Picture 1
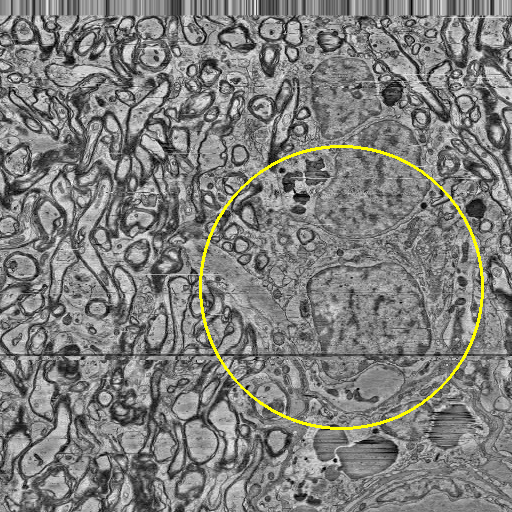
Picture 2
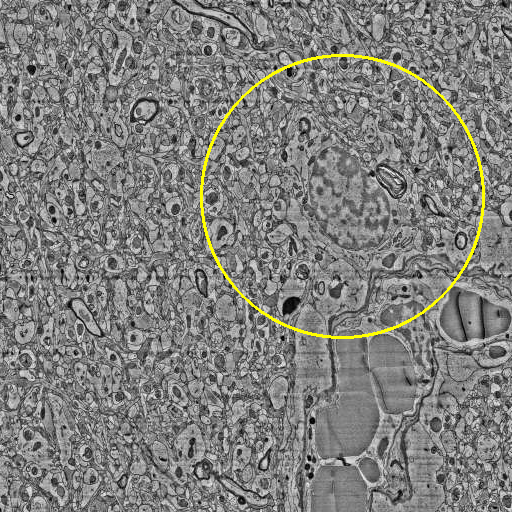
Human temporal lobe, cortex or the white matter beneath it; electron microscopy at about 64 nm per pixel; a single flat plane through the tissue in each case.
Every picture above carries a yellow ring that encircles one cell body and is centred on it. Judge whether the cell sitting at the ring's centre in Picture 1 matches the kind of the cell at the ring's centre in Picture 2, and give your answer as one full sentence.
No, the cells centred in the rings of Pictures 1 and 2 belong to two kinds.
